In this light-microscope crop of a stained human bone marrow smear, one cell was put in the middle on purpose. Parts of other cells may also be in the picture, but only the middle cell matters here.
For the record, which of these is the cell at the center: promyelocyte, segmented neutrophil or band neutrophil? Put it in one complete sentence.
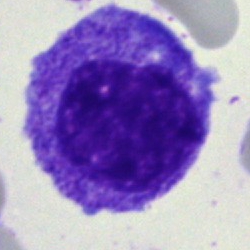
The central cell in this smear crop is a promyelocyte.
